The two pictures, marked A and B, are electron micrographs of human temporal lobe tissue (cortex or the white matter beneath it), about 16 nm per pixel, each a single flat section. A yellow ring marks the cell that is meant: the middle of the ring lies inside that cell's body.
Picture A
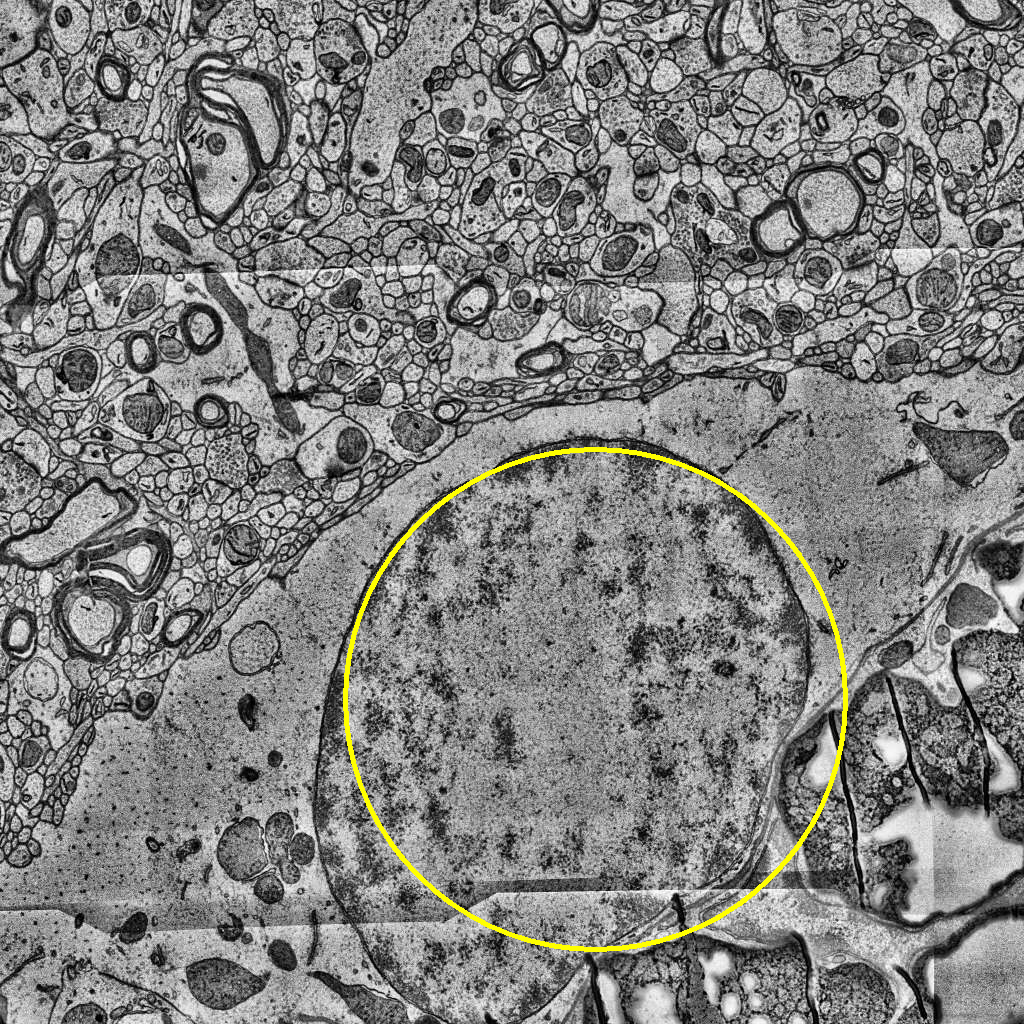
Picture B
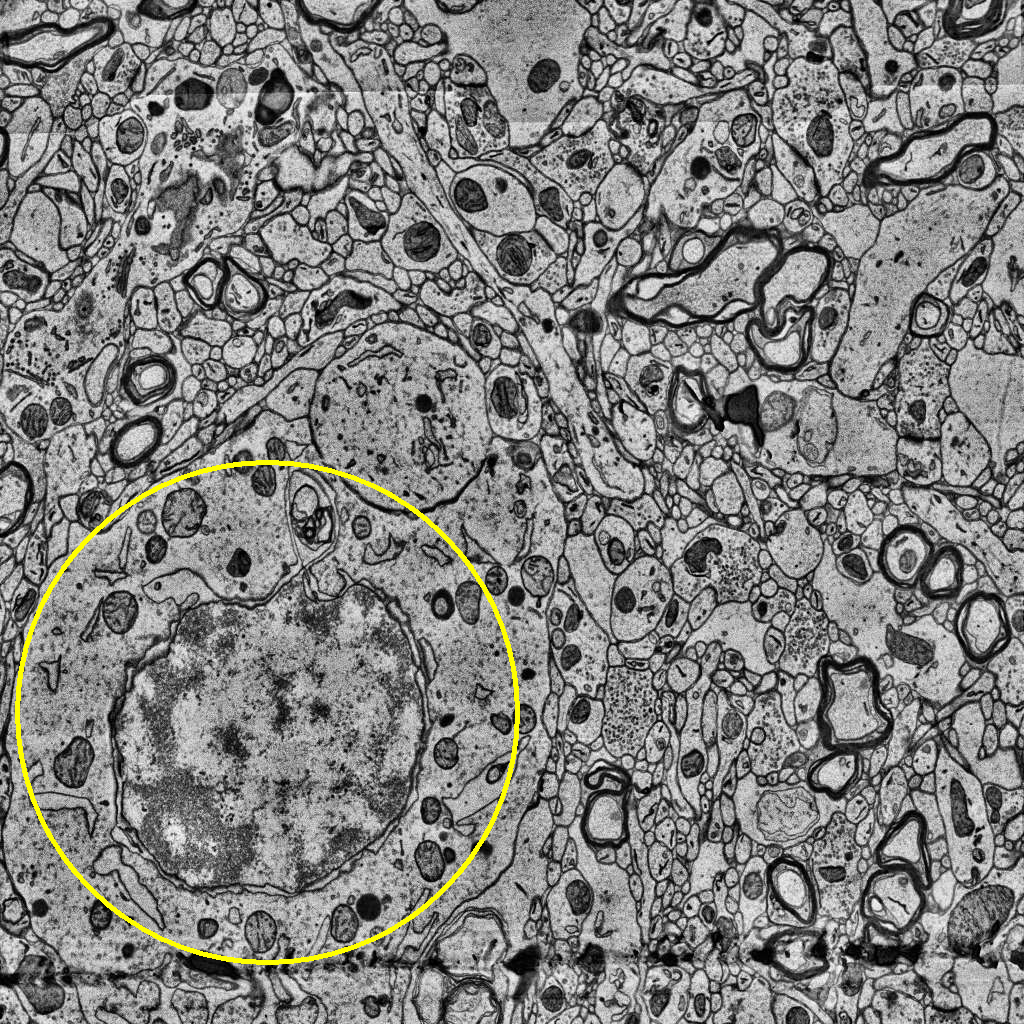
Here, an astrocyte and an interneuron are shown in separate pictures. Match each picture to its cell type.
Picture B shows an interneuron, while picture A shows an astrocyte.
